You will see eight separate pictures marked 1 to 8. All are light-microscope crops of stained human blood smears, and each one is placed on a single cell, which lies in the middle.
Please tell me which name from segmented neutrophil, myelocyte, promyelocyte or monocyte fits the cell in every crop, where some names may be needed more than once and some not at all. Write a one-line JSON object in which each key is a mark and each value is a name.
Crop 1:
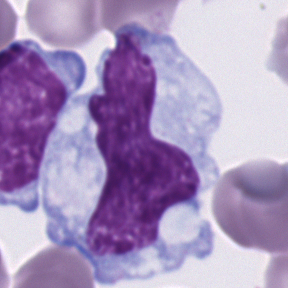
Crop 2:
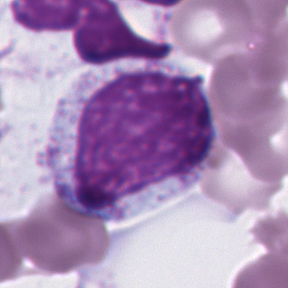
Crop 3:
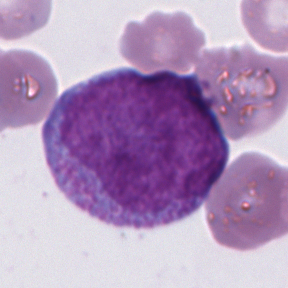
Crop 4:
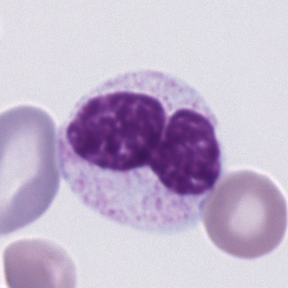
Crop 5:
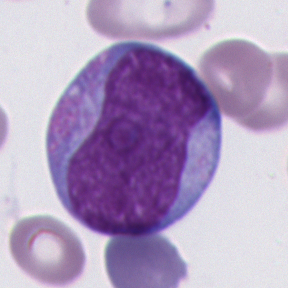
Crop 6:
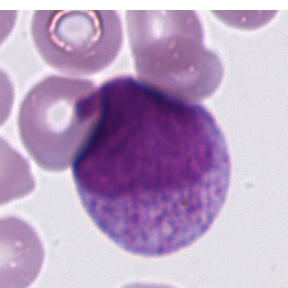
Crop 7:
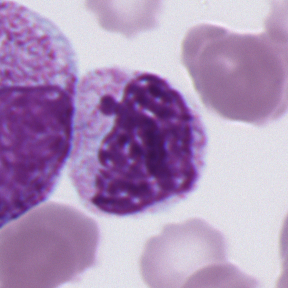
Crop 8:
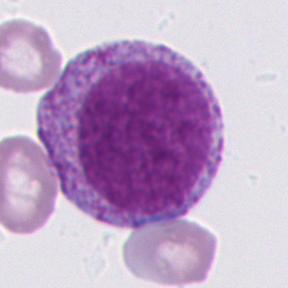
{"1": "monocyte", "2": "myelocyte", "3": "promyelocyte", "4": "segmented neutrophil", "5": "promyelocyte", "6": "myelocyte", "7": "segmented neutrophil", "8": "promyelocyte"}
